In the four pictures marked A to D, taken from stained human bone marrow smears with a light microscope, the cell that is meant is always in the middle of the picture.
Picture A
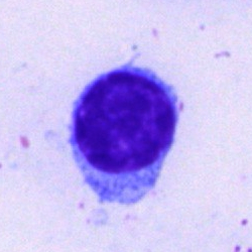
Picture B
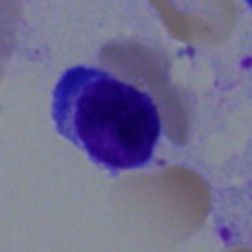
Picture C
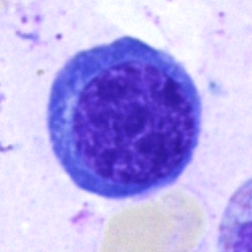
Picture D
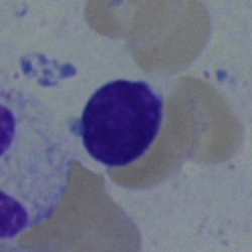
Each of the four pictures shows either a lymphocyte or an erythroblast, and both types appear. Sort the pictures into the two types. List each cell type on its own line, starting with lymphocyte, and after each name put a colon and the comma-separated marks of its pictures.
lymphocyte: A, B, D
erythroblast: C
